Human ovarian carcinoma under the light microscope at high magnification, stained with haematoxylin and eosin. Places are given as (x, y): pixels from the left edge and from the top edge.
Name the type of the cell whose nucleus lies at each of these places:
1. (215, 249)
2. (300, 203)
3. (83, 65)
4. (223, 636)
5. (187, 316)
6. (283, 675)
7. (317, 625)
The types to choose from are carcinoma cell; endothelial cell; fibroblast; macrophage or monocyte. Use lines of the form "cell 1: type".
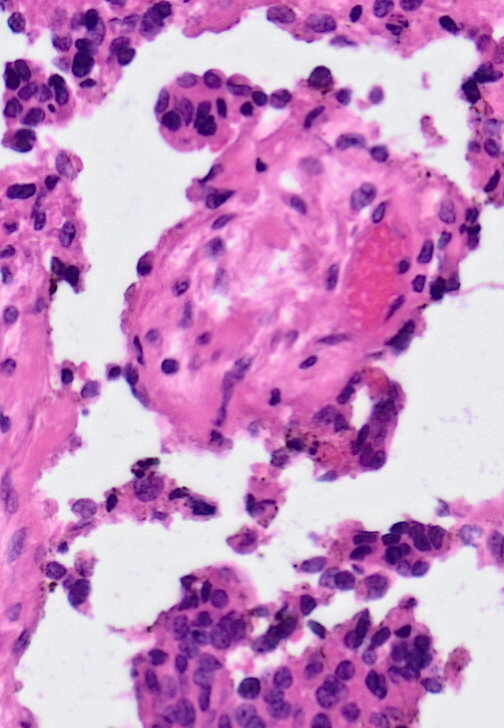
cell 1: fibroblast
cell 2: fibroblast
cell 3: carcinoma cell
cell 4: carcinoma cell
cell 5: fibroblast
cell 6: carcinoma cell
cell 7: carcinoma cell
